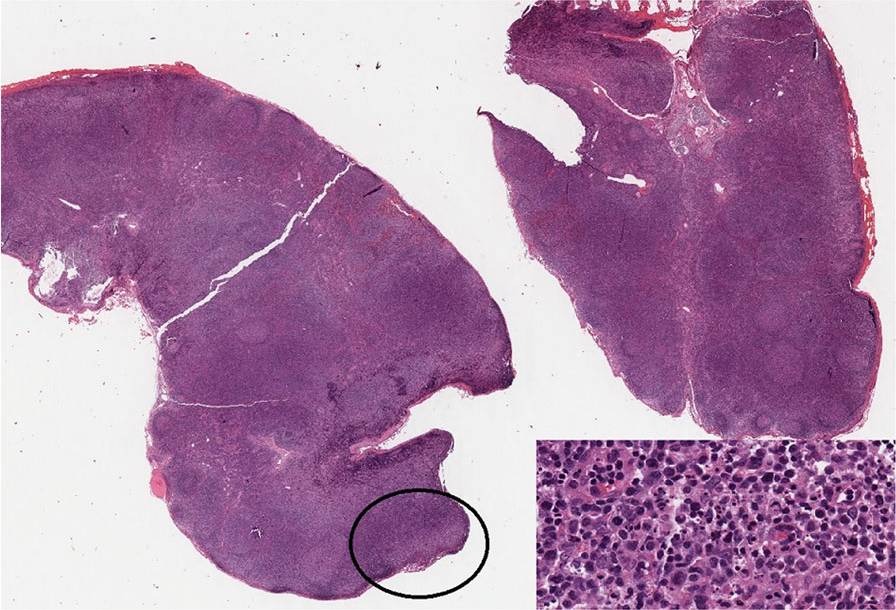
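At low power this is a lymph node cut into two large pieces, stained purple with a thin pink capsule along its outer edge. The tissue is densely cellular throughout, with rounded slightly paler nodules set beneath the capsule and thin pink fibrous strands and a few vessels crossing it. A black circle marks a small area just under the capsule at the lower tip of the left piece. The high-power inset shows a crowded mixture of cells with dark round nuclei, among them scattered larger cells with bigger nuclei and more cytoplasm. Between the cells lie small fragmented dark nuclear particles, the debris of broken-up nuclei.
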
